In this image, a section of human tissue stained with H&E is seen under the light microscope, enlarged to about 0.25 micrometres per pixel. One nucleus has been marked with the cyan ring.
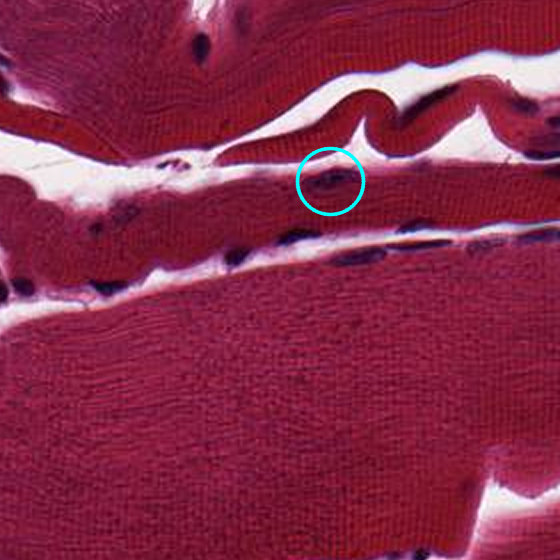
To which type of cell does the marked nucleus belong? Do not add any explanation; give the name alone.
skeletal muscle fibre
